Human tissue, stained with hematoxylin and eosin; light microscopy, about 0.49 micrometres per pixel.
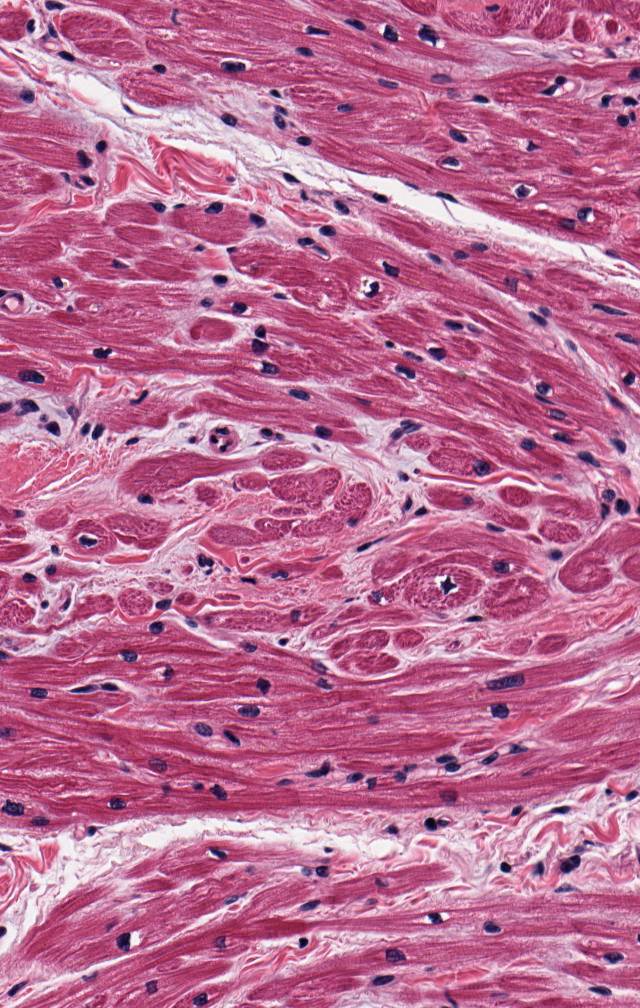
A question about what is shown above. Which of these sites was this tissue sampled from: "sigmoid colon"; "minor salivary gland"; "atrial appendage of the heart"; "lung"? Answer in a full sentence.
The site this tissue was sampled from is the atrial appendage of the heart.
